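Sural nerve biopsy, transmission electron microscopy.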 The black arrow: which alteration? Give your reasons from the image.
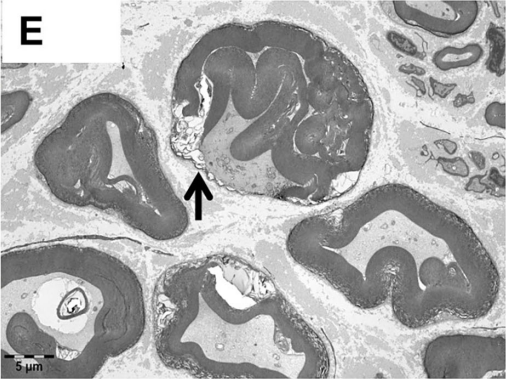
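Demyelination. At the arrow the dark myelin sheath of a large fiber is broken up into loose, pale, vacuolated material. Neighbouring fibers keep thick, compact dark myelin.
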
